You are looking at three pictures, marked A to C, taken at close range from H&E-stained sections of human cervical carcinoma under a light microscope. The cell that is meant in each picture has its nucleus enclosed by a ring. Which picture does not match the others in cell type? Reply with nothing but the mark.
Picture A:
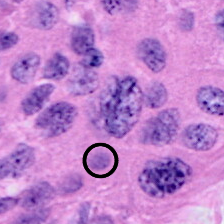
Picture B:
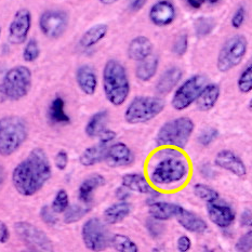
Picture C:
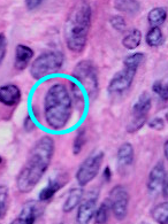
C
